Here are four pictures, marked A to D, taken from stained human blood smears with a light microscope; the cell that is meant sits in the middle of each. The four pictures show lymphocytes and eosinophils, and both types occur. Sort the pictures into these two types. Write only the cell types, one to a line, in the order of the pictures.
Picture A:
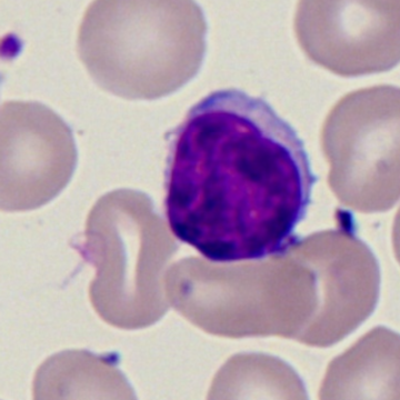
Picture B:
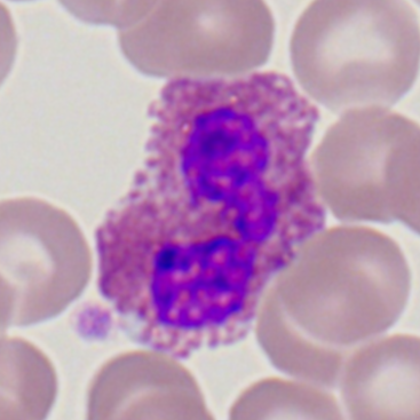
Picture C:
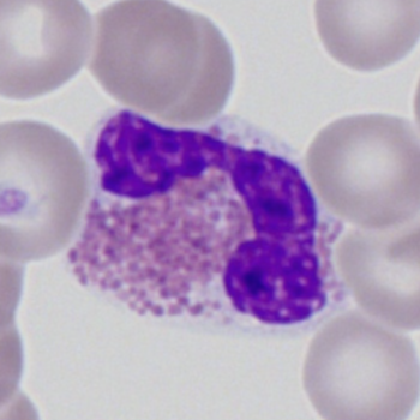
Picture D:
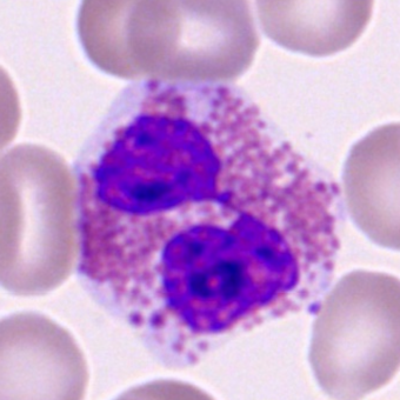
lymphocyte
eosinophil
eosinophil
eosinophil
